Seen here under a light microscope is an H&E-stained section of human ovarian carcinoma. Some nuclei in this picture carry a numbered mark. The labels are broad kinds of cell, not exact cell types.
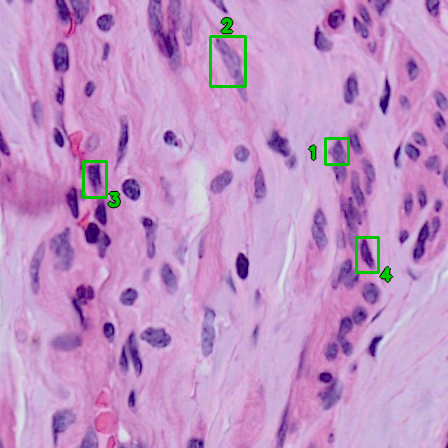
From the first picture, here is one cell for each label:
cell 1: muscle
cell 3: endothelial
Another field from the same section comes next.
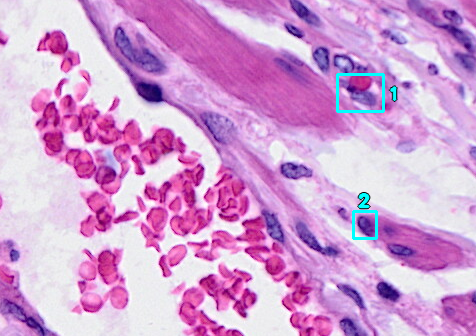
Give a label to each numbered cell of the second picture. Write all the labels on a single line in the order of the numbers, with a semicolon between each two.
endothelial; muscle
